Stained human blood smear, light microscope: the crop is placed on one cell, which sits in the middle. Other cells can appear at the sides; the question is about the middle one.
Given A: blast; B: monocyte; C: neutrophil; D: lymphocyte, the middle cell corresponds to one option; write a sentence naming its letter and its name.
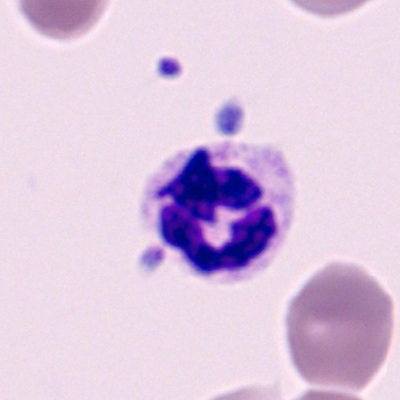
It is a neutrophil that occupies the centre of the crop, so option C is correct.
